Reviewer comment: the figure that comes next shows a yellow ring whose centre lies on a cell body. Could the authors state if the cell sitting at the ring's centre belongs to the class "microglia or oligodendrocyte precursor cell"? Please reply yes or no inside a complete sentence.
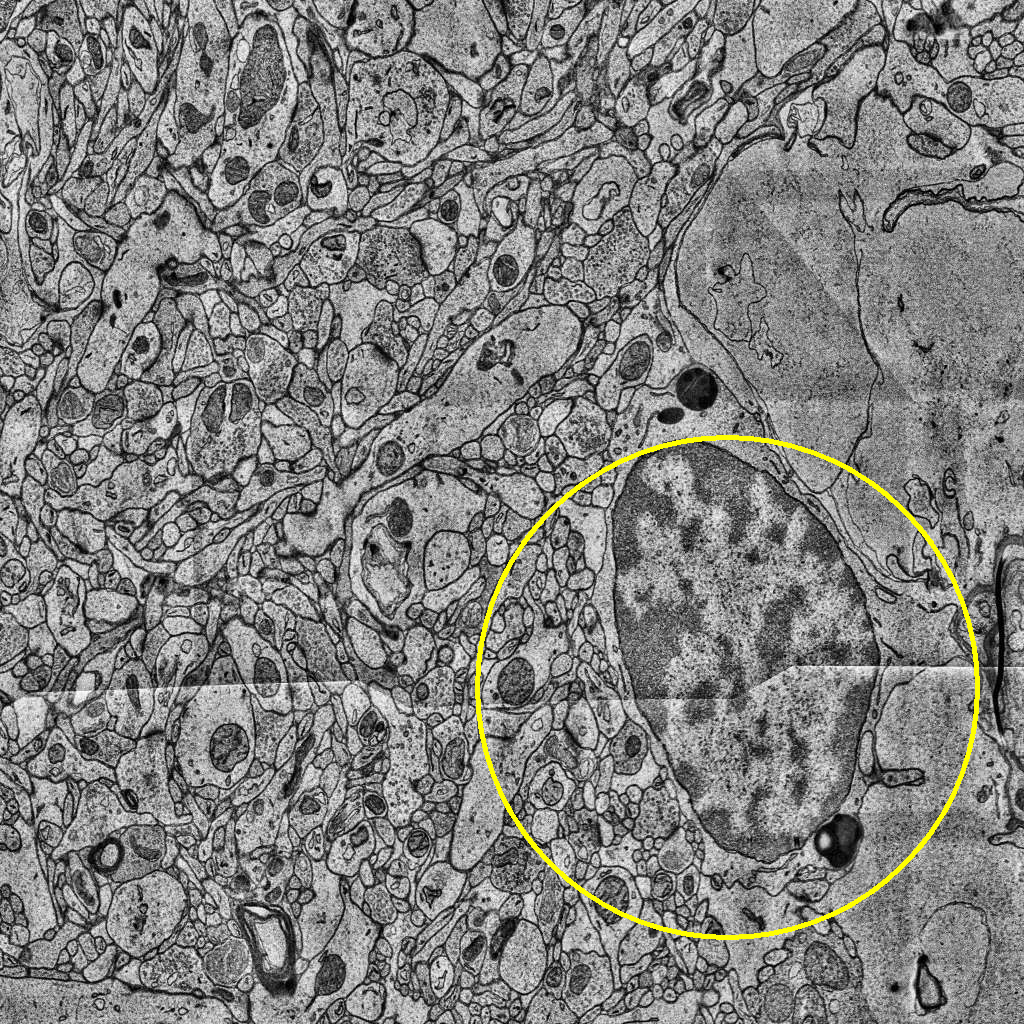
Yes, in the figure, the cell at the ring's centre belongs to that class.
